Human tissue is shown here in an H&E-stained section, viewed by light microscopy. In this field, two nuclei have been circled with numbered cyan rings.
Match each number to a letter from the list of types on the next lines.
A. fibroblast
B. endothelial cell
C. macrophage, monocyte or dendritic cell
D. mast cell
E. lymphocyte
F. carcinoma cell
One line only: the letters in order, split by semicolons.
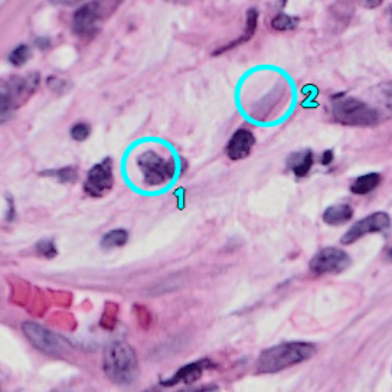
E; A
